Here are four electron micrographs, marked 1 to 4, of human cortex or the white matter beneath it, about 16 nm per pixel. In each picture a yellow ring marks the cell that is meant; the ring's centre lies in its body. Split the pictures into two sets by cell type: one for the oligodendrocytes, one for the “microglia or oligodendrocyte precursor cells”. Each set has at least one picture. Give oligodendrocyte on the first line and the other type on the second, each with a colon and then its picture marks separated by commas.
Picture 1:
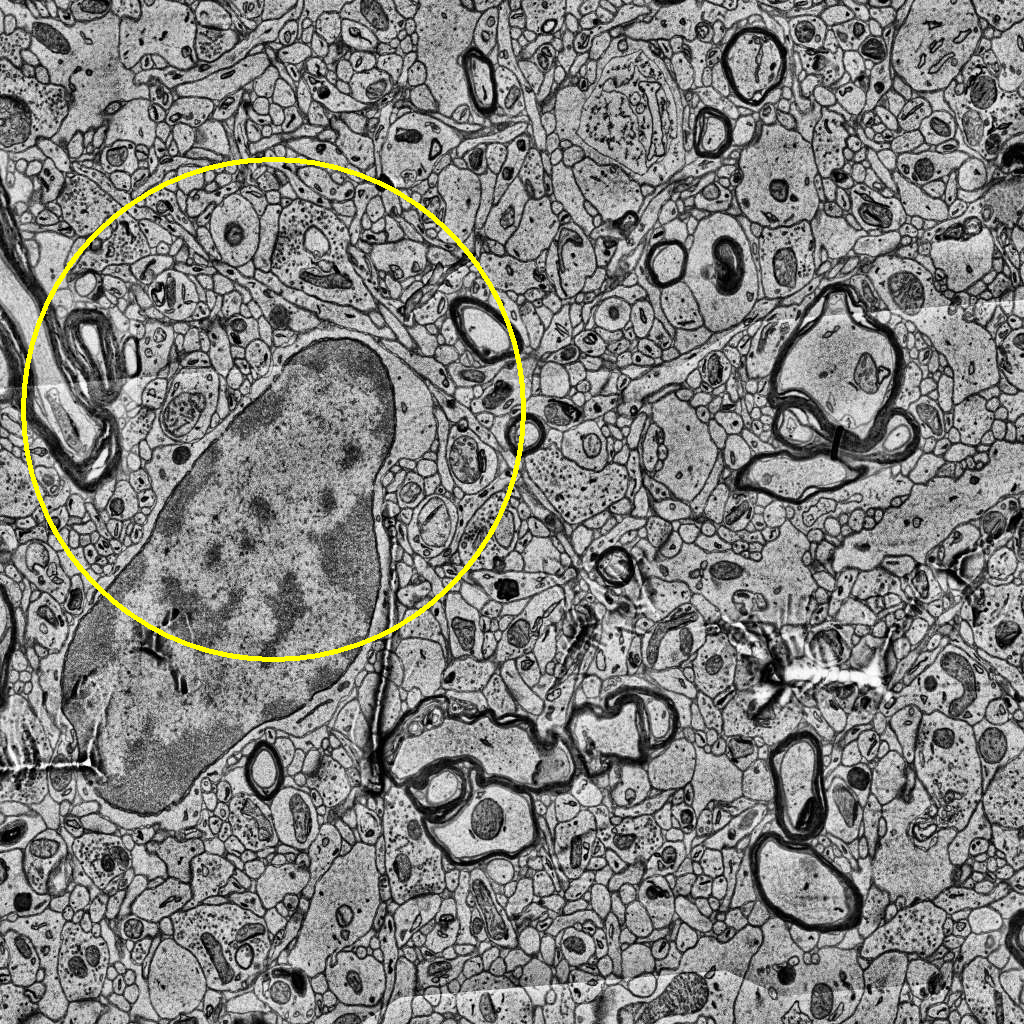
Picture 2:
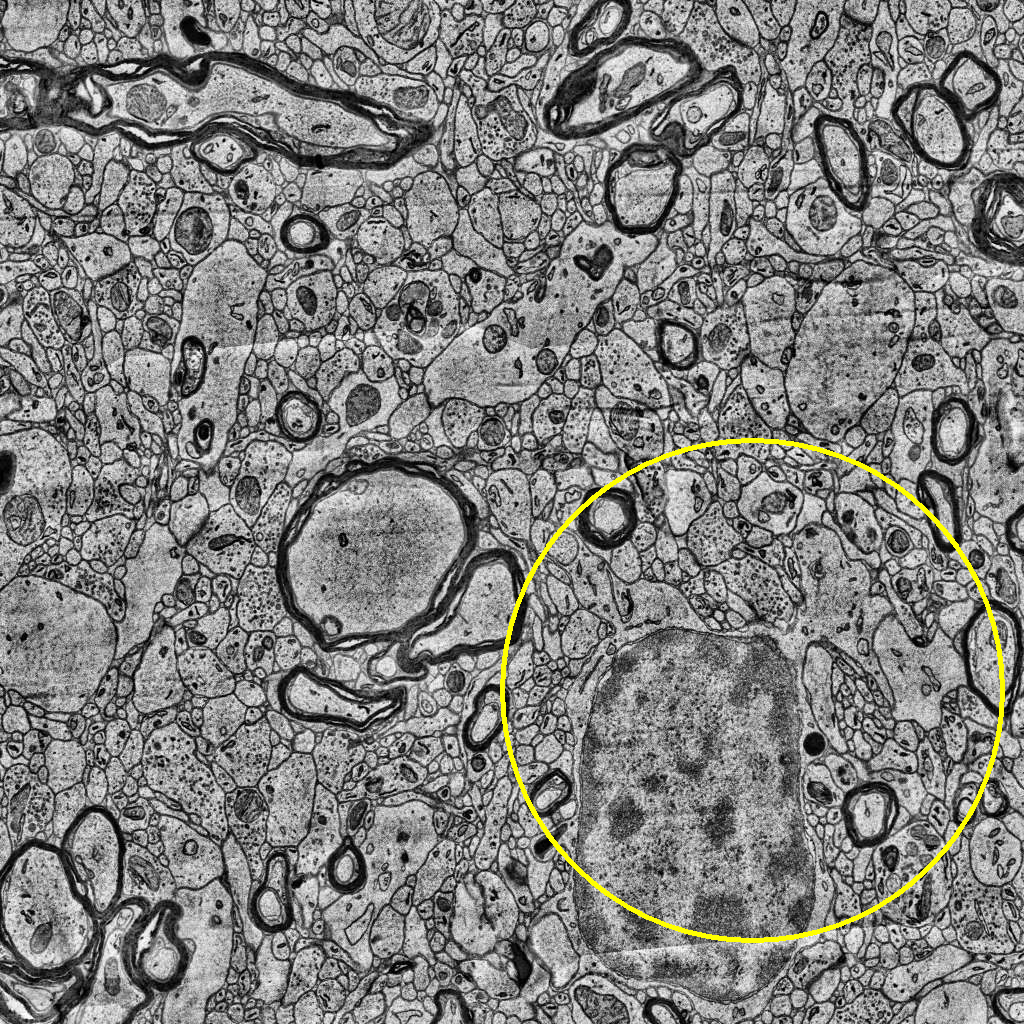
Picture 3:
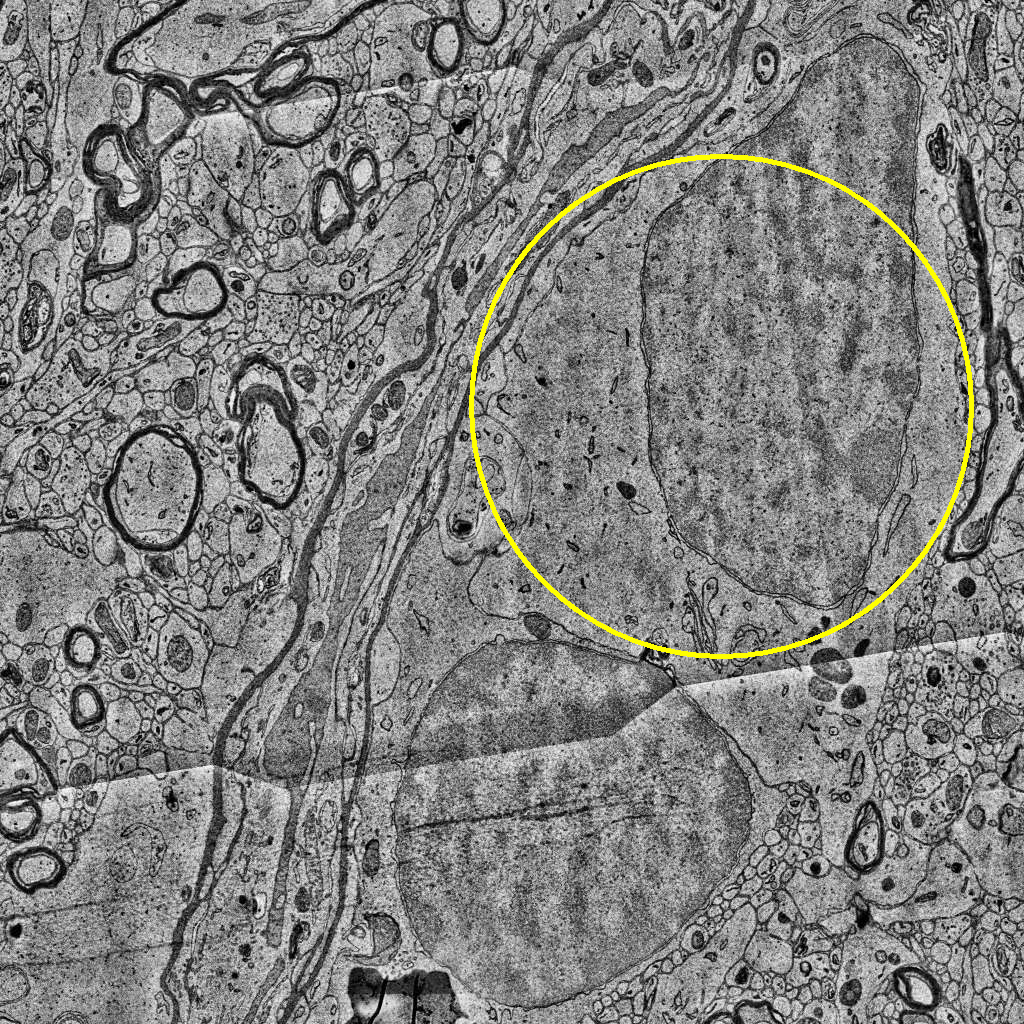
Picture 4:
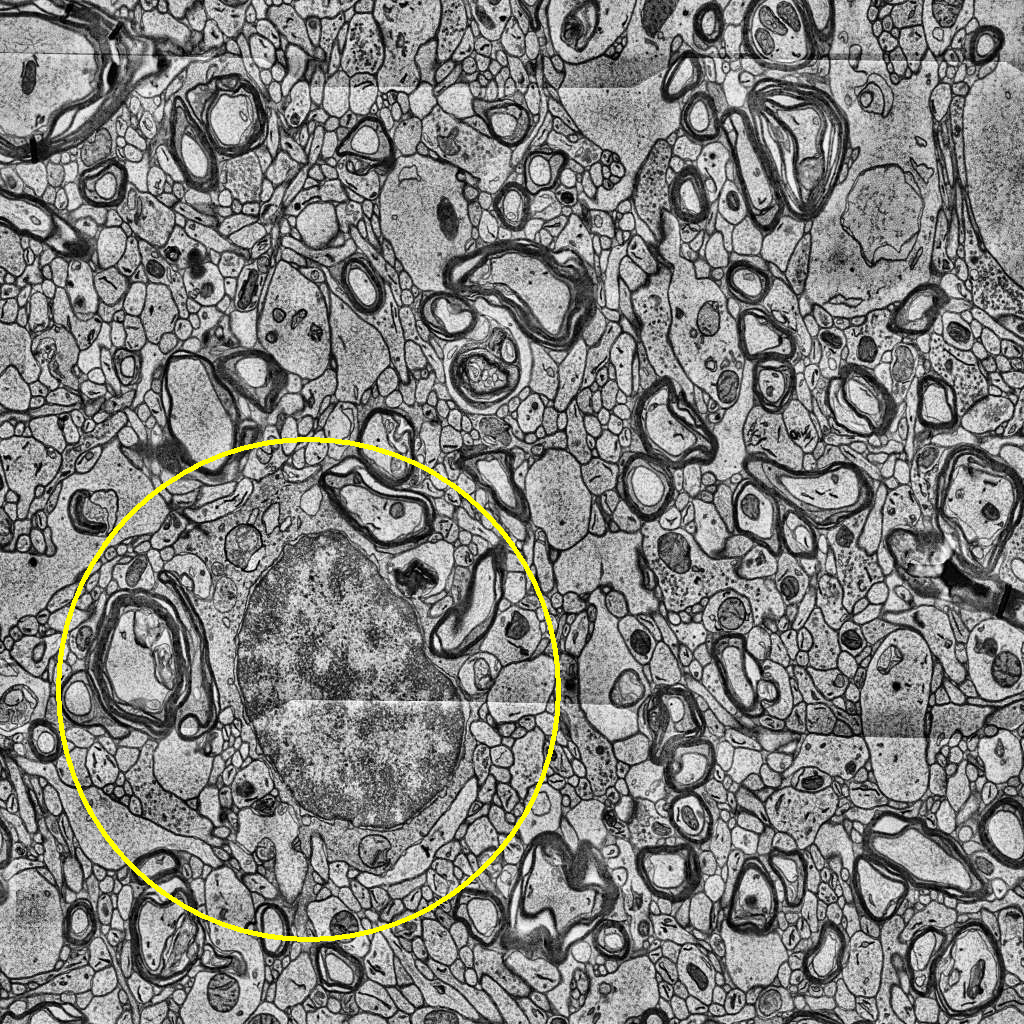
oligodendrocyte: 4
microglia or oligodendrocyte precursor cell: 1, 2, 3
